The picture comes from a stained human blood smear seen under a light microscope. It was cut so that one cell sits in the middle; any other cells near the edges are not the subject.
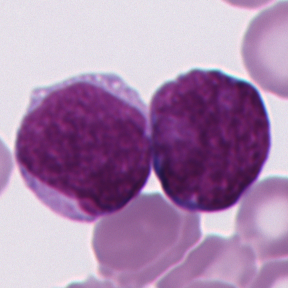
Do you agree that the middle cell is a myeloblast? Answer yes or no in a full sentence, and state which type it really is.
Yes, it is a myeloblast that is seen at the centre of the crop.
